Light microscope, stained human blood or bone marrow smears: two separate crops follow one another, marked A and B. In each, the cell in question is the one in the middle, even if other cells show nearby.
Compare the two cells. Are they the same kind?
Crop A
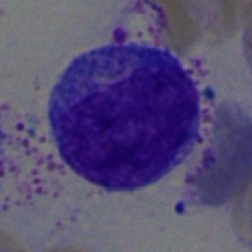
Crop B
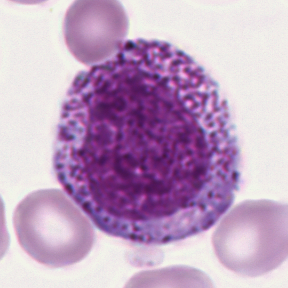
yes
